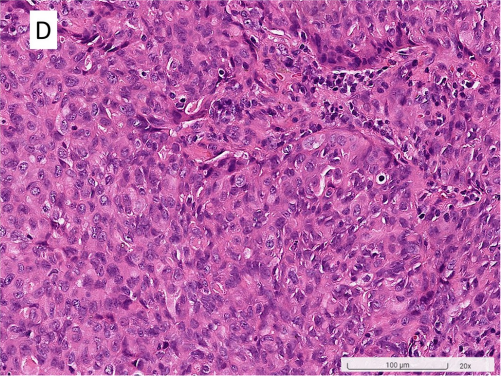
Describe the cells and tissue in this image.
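This is a high-grade carcinoma growing in solid sheets, with no glands formed. The tumour cells are large and polygonal, with ample pink cytoplasm and big, irregular vesicular nuclei carrying prominent nucleoli. Thin strands of stroma with a few small dark inflammatory cells run between the sheets.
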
